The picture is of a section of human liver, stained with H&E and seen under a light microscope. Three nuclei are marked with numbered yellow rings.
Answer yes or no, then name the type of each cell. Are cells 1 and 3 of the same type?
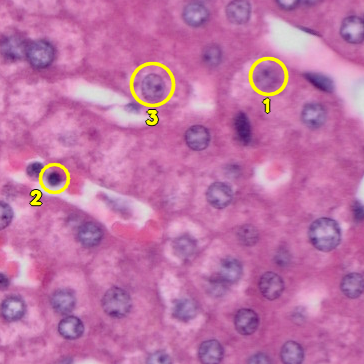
Yes, by their numbers, cells 1 and 3 are both hepatocytes.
